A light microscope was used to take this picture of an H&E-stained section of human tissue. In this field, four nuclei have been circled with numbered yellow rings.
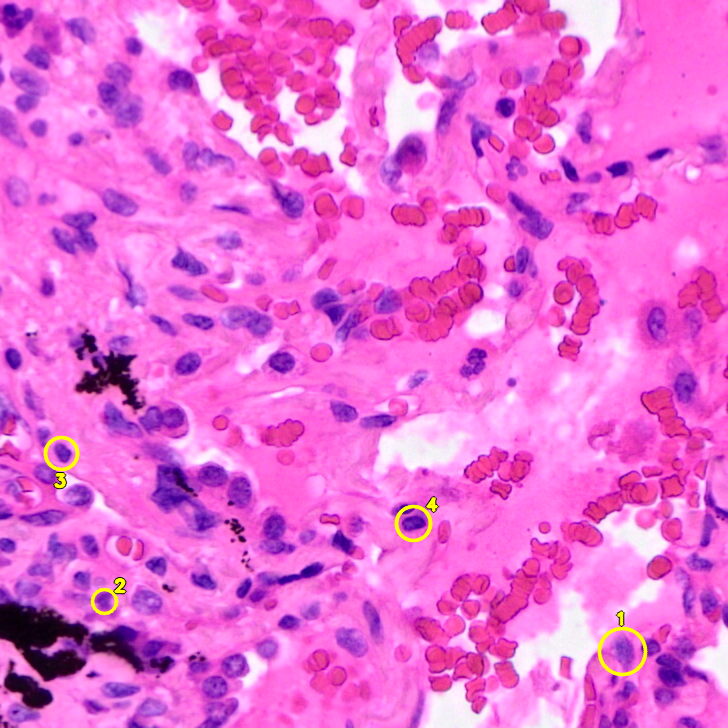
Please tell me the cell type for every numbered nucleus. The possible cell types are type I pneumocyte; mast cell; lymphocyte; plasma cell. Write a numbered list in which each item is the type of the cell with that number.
1. type I pneumocyte
2. plasma cell
3. lymphocyte
4. mast cell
